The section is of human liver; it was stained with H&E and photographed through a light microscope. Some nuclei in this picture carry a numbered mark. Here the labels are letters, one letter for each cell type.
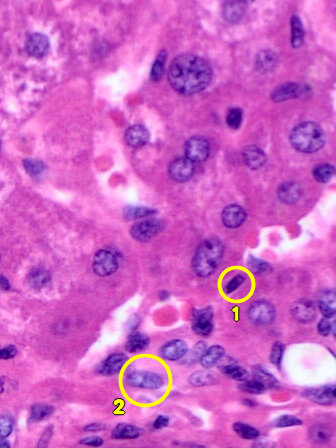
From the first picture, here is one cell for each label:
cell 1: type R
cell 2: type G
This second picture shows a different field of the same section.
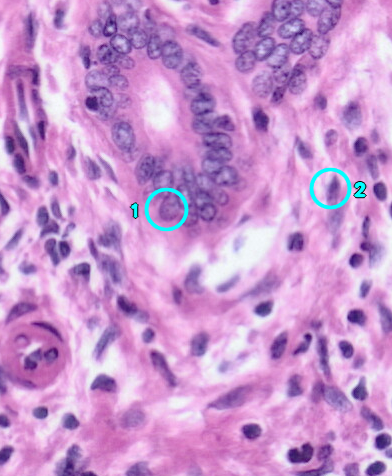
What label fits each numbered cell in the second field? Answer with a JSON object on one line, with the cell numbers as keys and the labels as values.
{"1": "type G", "2": "type R"}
